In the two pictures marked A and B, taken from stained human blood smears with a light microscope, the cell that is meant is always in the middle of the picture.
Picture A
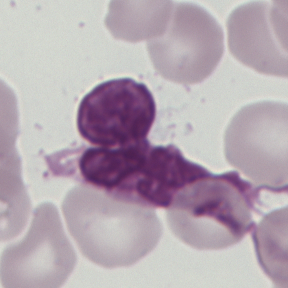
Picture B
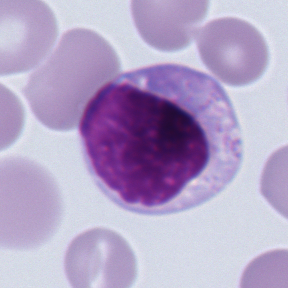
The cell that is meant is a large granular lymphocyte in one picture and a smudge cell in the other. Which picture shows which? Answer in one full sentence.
Picture A is of a smudge cell, and picture B is of a large granular lymphocyte.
